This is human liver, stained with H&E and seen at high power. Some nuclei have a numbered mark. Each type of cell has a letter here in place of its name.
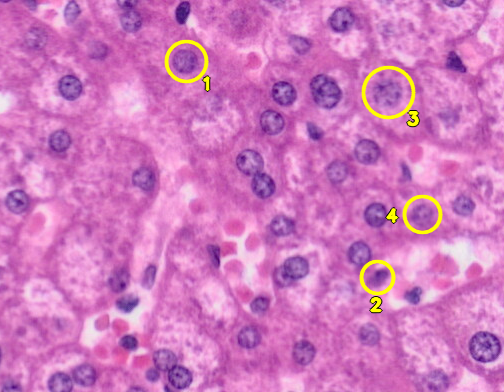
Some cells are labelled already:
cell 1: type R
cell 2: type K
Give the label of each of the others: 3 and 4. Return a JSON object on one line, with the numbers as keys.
{"3": "type R", "4": "type R"}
